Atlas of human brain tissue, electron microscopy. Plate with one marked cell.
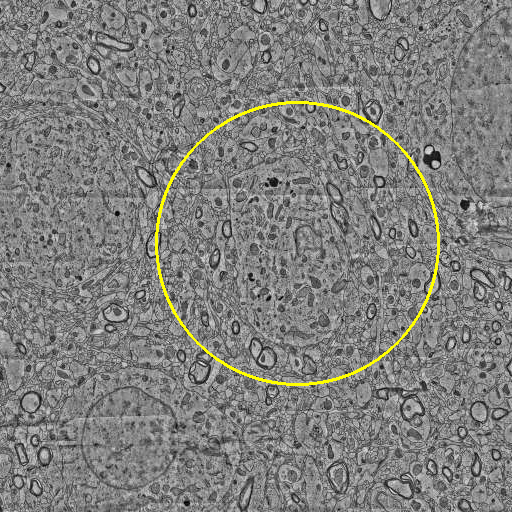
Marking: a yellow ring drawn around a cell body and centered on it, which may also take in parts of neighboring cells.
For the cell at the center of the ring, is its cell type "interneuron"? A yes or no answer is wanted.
Yes, that is its cell type.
